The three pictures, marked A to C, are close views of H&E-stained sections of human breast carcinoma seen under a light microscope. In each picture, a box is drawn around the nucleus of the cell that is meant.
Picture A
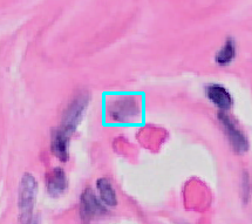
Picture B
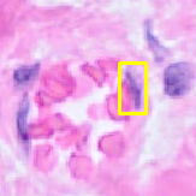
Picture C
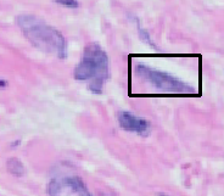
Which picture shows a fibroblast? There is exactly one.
C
